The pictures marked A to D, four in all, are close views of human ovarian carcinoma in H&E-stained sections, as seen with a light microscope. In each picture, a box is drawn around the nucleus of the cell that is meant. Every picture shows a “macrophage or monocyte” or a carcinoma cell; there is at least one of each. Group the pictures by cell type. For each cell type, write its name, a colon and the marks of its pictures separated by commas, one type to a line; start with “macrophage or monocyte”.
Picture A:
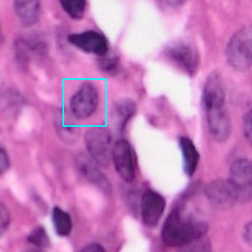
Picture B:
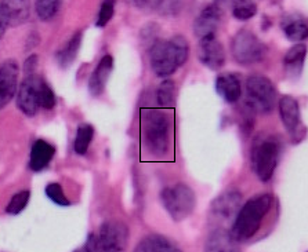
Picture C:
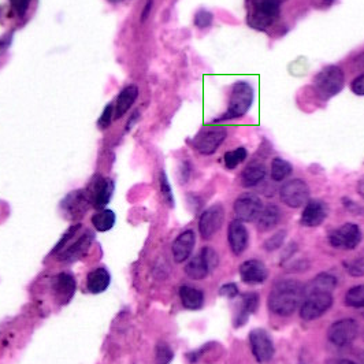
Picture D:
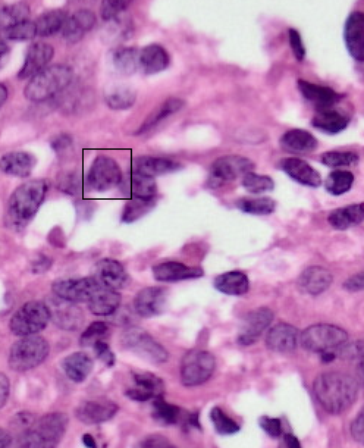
macrophage or monocyte: A, C
carcinoma cell: B, D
